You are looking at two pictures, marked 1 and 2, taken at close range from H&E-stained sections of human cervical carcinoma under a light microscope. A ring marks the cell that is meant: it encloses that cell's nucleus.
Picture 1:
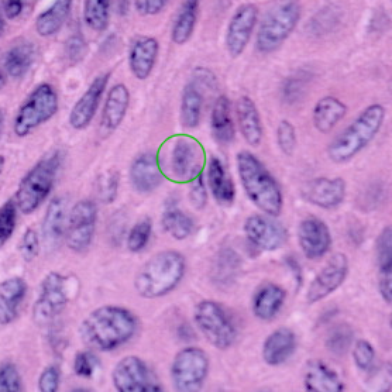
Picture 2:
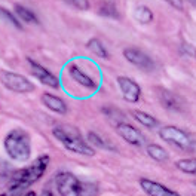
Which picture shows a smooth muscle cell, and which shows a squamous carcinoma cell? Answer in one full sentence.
It is picture 1 that shows a squamous carcinoma cell, and picture 2 that shows a smooth muscle cell.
